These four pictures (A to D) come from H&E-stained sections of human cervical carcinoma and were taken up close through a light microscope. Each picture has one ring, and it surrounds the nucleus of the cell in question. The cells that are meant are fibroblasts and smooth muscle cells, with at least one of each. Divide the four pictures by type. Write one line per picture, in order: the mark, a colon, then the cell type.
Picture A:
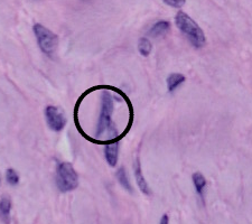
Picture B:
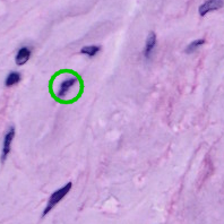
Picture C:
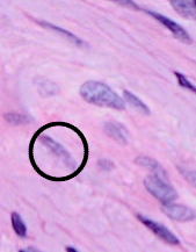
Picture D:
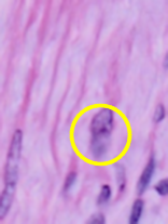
A: fibroblast
B: fibroblast
C: smooth muscle cell
D: smooth muscle cell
